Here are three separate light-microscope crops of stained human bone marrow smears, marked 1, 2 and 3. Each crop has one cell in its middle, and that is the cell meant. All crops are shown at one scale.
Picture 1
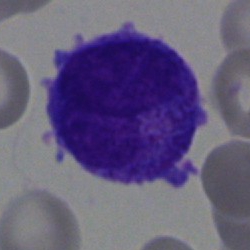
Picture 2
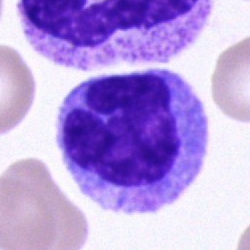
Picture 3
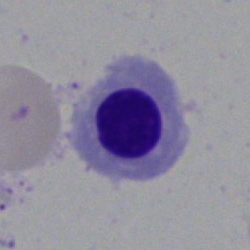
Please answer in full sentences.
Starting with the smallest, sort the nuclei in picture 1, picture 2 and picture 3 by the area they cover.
From the smallest up, the order is 3, 2, 1.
